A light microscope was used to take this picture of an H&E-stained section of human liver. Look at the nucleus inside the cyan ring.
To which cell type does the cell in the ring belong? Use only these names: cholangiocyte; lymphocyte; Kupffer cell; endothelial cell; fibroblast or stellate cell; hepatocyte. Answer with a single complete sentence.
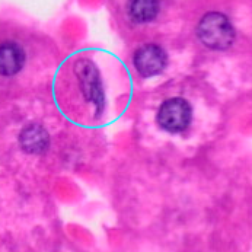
Histopathologically, the cell in the ring is a Kupffer cell.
